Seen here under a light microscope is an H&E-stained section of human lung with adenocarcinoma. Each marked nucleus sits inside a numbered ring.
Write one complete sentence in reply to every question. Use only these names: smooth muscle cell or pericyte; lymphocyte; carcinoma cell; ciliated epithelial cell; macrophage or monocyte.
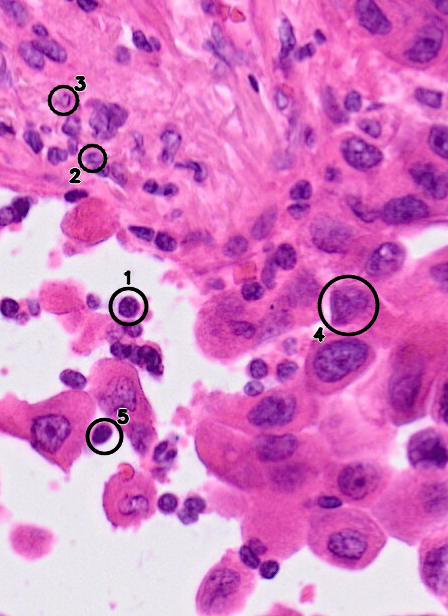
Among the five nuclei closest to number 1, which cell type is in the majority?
Of the five nuclei nearest to number 1, most belong to lymphocytes.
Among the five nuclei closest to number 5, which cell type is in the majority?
Carcinoma cells make up most of the five nuclei closest to number 5.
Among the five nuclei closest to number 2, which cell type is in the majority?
Lymphocytes make up most of the five nuclei closest to number 2.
